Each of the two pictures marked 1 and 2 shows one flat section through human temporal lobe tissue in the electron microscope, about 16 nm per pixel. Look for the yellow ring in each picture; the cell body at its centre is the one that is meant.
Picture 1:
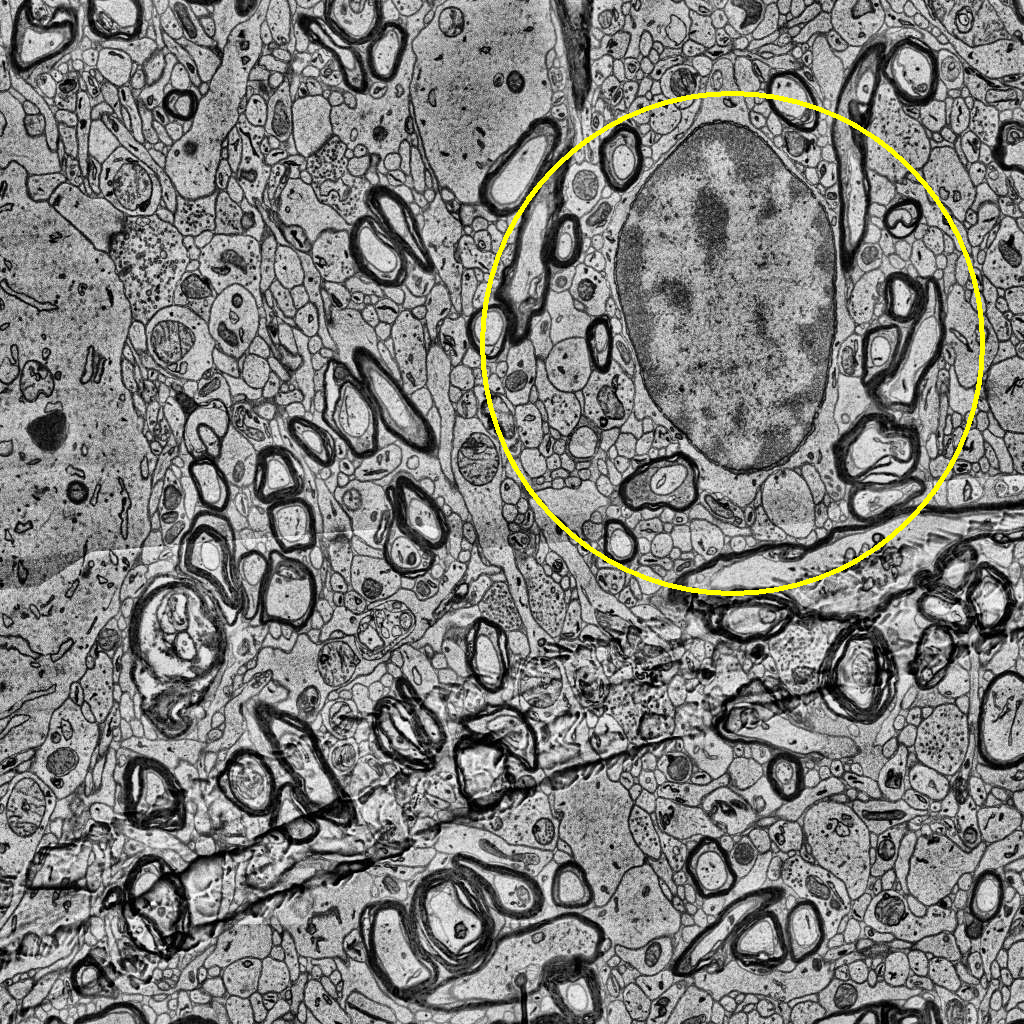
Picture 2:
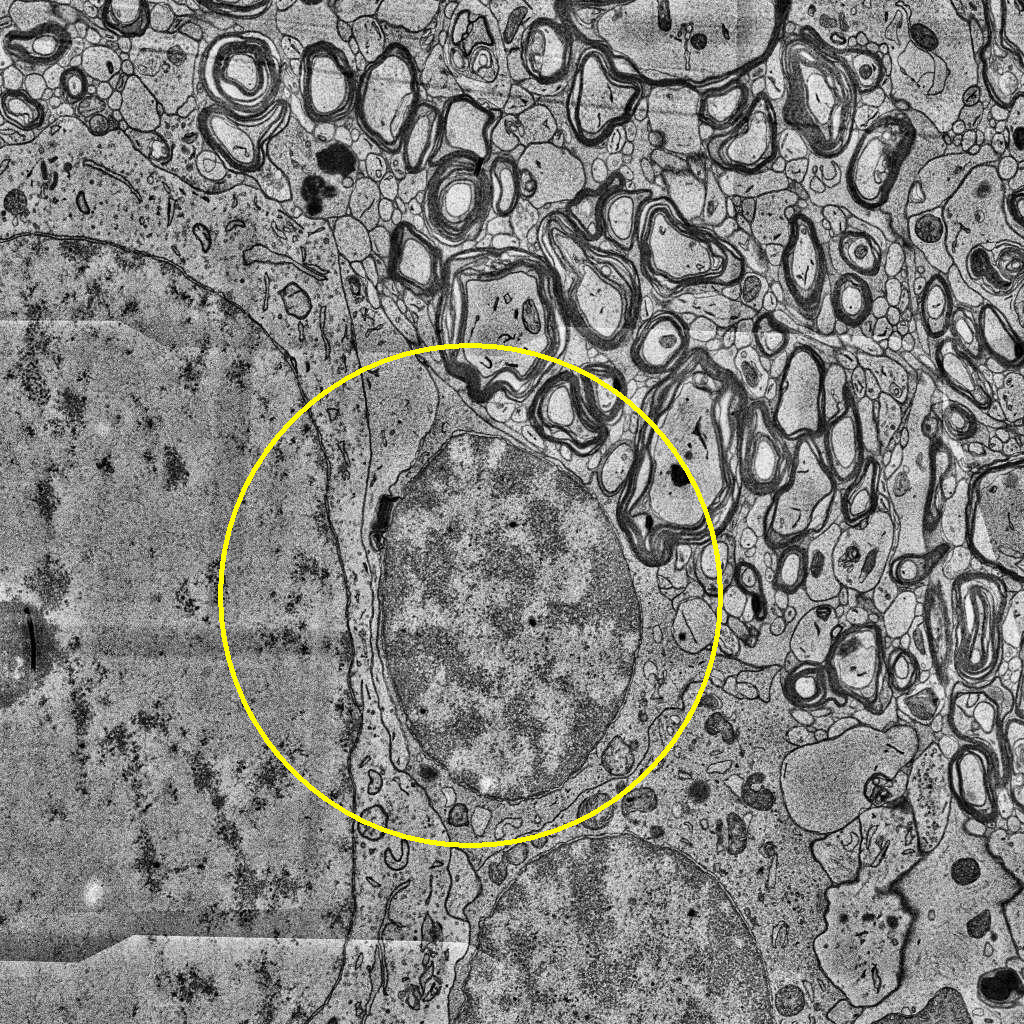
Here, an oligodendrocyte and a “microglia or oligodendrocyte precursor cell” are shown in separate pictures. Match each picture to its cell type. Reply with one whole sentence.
The cell in picture 1 is a “microglia or oligodendrocyte precursor cell”, and the one in picture 2 is an oligodendrocyte.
